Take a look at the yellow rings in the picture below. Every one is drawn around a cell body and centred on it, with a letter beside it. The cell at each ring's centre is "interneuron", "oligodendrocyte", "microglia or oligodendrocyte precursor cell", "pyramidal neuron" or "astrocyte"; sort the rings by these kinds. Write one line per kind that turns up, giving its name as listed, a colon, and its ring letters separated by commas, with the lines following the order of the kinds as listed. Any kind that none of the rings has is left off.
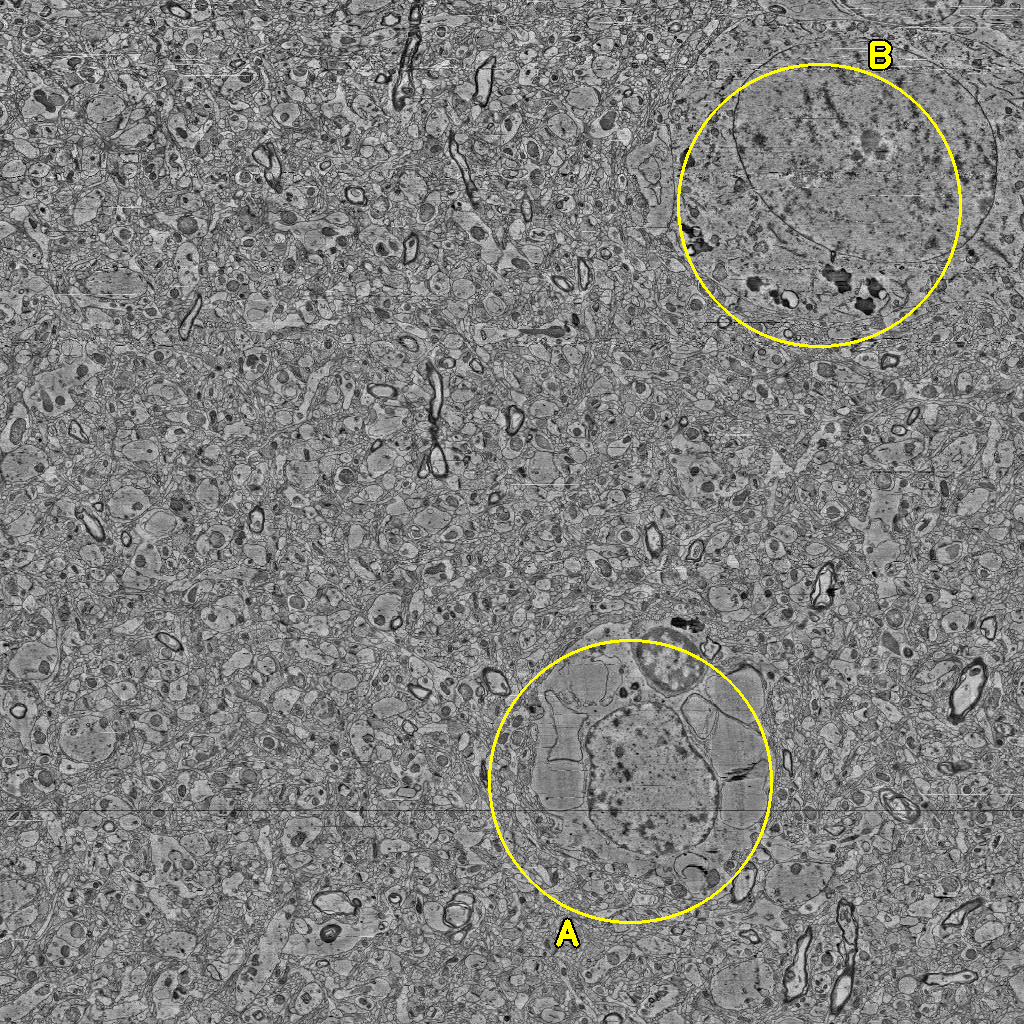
pyramidal neuron: B
astrocyte: A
